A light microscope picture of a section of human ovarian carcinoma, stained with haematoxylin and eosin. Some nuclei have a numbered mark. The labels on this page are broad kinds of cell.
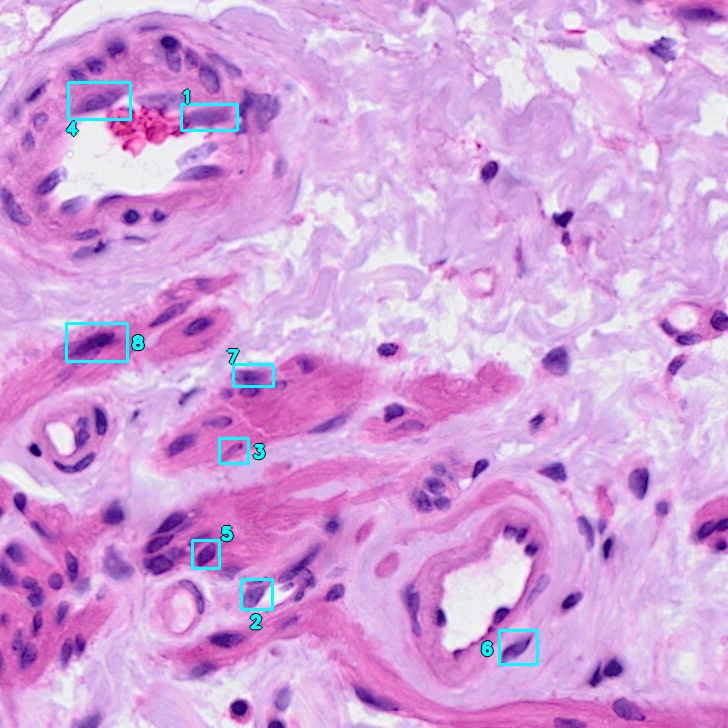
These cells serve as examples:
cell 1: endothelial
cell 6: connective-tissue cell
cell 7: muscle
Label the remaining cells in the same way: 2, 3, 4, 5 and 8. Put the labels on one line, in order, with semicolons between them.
endothelial; muscle; endothelial; muscle; muscle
